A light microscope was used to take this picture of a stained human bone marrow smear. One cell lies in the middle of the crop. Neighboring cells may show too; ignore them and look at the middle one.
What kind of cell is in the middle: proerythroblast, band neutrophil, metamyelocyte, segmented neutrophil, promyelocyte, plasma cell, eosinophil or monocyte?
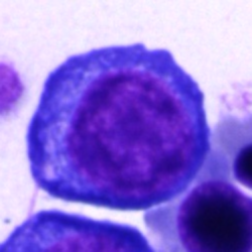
proerythroblast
